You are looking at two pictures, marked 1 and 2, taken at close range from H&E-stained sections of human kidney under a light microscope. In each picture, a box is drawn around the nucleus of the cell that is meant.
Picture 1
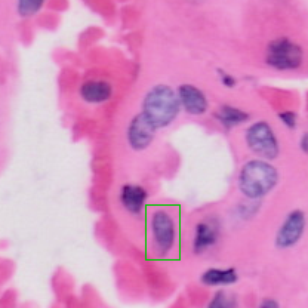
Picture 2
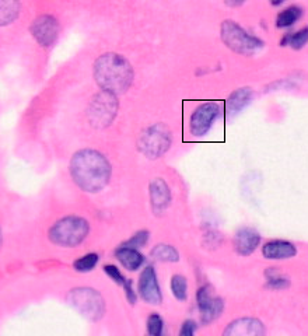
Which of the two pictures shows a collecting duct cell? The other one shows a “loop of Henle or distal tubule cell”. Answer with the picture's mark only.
1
